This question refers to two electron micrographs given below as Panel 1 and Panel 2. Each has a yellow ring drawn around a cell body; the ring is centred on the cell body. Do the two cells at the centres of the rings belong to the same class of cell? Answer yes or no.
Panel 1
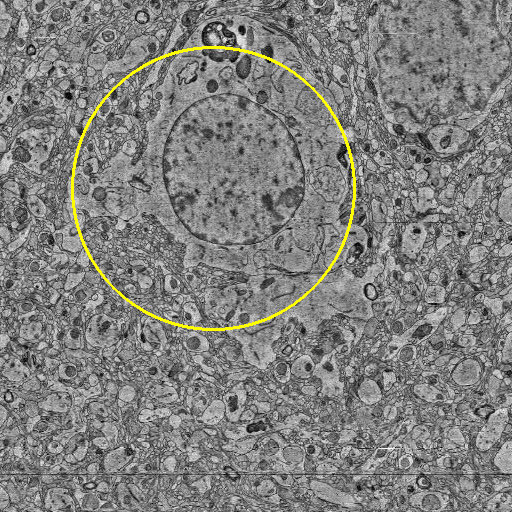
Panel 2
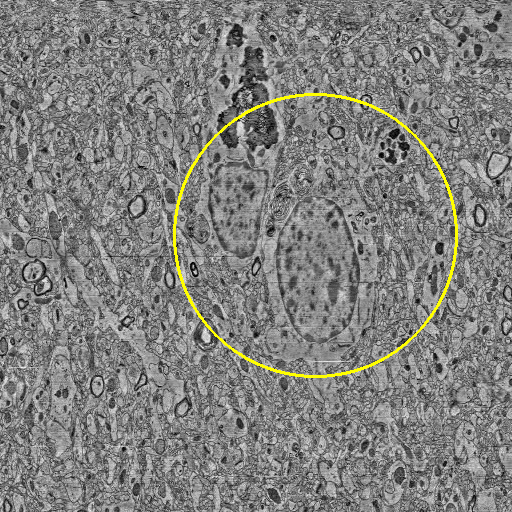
yes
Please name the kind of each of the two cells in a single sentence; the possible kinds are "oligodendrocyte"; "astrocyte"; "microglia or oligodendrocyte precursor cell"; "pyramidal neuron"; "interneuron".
In both pictures the ring is centred on an astrocyte.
